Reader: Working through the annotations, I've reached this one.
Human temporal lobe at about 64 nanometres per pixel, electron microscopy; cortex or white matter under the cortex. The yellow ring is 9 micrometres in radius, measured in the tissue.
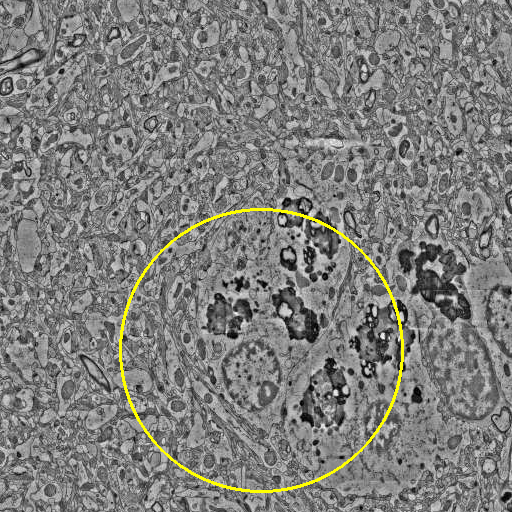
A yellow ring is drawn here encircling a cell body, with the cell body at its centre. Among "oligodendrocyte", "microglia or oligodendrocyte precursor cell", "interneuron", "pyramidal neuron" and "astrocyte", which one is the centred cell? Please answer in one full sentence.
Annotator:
The cell body at the centre of the yellow ring in this image belongs to an astrocyte.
